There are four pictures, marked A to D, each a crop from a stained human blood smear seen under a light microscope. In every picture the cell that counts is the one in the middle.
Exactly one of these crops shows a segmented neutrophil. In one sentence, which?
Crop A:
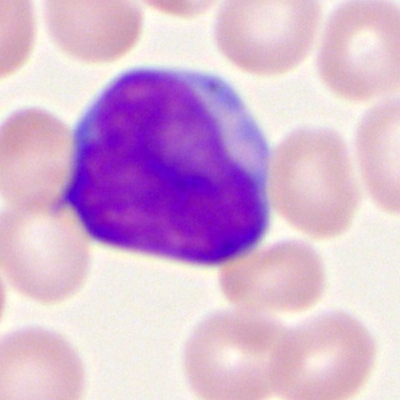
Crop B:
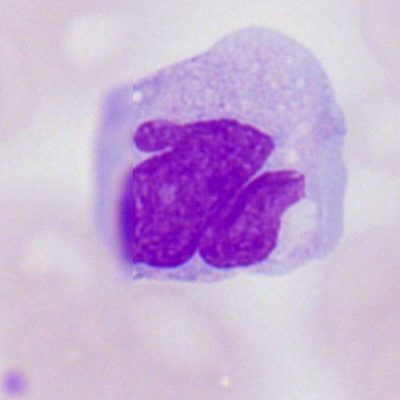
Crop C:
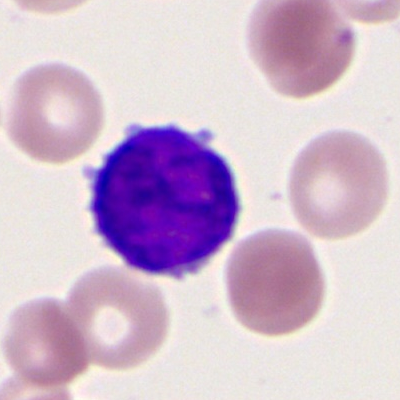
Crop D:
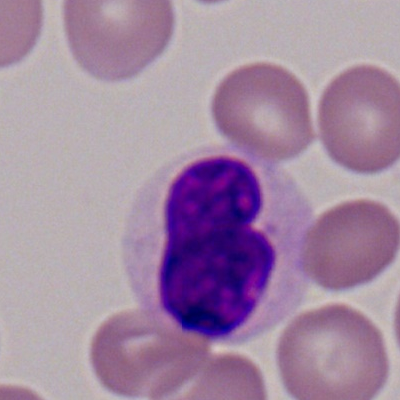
The crop in which a segmented neutrophil is shown is crop D.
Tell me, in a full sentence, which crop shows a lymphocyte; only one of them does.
Crop C, and no other, is the one that shows a lymphocyte.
